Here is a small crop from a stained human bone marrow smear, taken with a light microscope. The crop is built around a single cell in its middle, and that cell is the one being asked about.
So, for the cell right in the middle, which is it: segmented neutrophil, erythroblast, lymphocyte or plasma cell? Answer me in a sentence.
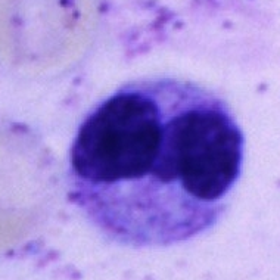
What sits at the centre of this crop is a segmented neutrophil.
